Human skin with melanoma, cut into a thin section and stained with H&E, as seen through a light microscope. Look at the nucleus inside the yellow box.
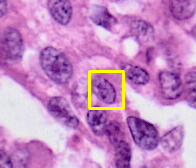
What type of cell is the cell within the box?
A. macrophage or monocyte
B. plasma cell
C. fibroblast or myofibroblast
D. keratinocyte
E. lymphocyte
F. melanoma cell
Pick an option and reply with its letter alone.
F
